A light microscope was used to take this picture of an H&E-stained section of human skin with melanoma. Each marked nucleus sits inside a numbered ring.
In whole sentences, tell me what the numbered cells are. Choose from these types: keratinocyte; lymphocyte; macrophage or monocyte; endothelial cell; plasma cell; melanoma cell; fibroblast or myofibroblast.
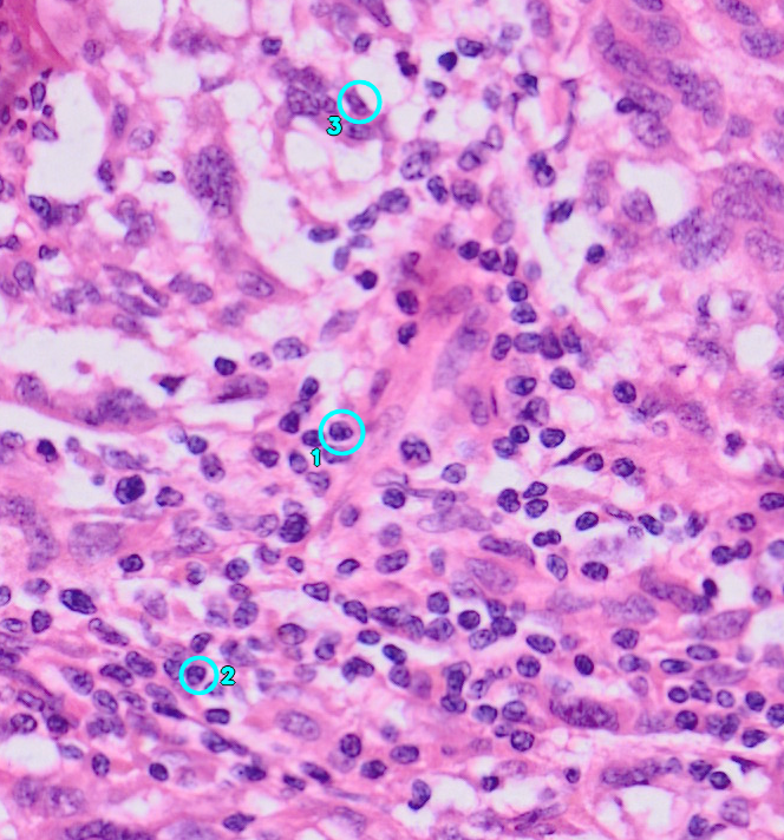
Cell 1 is a lymphocyte, cell 2 is a lymphocyte and cell 3 is a melanoma cell.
